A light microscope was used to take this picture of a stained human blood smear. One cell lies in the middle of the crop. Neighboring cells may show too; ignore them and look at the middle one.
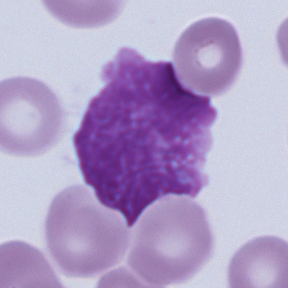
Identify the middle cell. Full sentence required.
The middle of this crop is occupied by a smudge cell.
